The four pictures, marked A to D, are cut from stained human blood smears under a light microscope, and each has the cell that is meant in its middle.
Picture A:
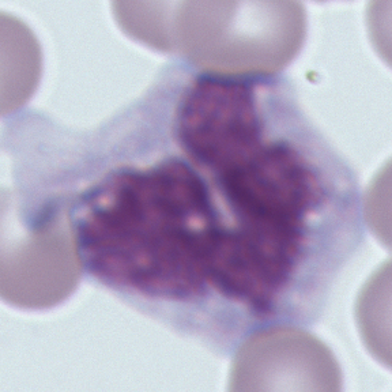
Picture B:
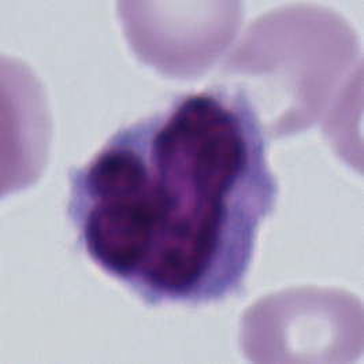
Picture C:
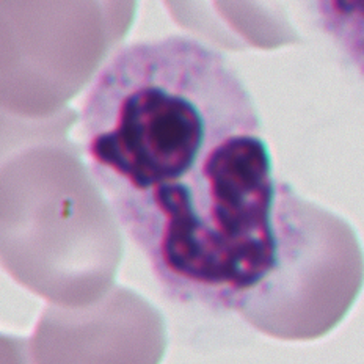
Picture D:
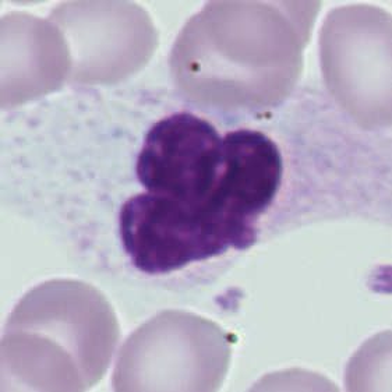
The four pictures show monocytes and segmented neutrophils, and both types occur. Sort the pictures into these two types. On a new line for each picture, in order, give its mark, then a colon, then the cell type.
A: monocyte
B: monocyte
C: segmented neutrophil
D: segmented neutrophil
